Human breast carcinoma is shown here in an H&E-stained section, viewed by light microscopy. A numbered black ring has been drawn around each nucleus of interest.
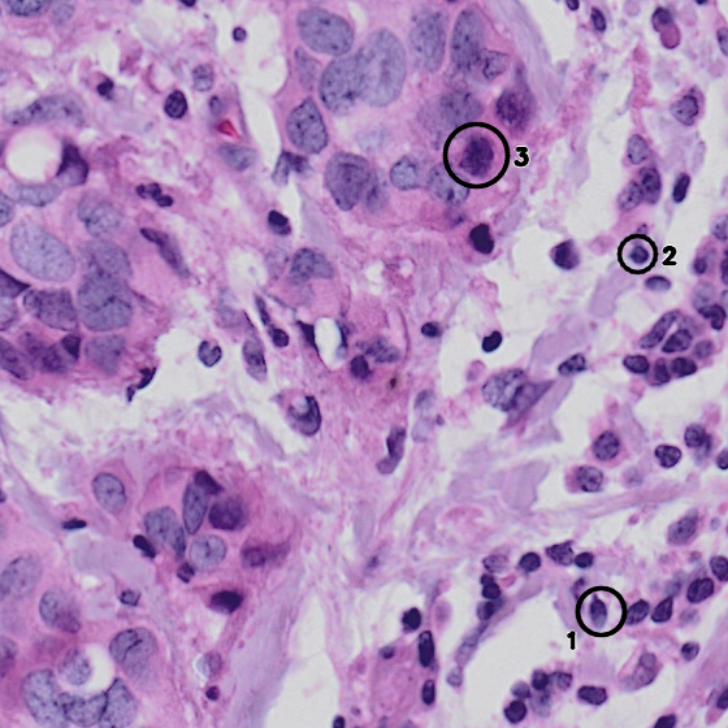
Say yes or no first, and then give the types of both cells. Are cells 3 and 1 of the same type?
No, cell 3 is a carcinoma cell and cell 1 is a lymphocyte.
